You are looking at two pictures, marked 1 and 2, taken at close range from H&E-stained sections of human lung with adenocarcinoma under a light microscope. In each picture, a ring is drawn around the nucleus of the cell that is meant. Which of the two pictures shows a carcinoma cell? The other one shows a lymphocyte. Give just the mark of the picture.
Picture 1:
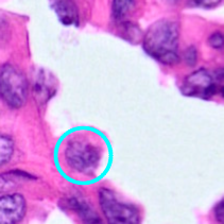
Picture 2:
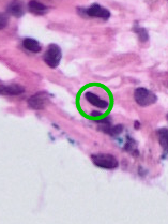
1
